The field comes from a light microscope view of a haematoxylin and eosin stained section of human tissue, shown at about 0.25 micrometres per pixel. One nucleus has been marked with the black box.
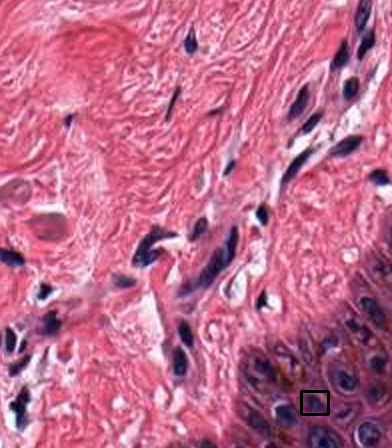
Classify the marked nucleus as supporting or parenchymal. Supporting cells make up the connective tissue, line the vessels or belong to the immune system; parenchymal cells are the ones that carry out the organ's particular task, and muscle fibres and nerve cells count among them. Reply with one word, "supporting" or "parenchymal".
parenchymal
